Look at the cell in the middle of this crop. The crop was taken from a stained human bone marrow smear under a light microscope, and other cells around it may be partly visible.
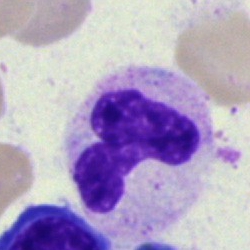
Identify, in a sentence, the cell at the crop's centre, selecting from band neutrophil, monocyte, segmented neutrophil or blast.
In the central position of this crop, the cell is a segmented neutrophil.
